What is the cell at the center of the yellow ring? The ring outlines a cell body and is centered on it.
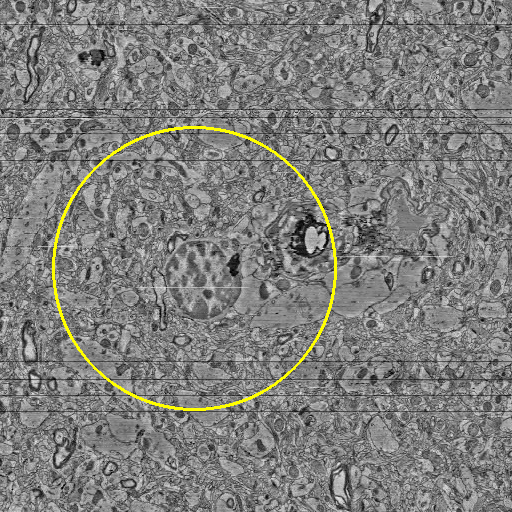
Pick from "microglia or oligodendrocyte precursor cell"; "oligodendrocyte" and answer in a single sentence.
The yellow ring is centered on an oligodendrocyte.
